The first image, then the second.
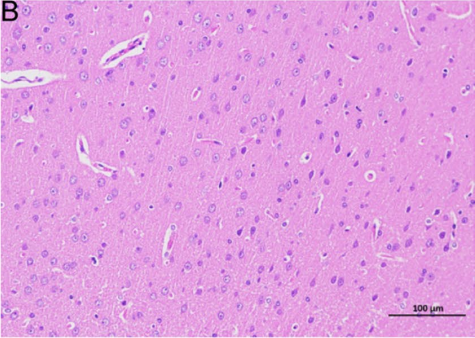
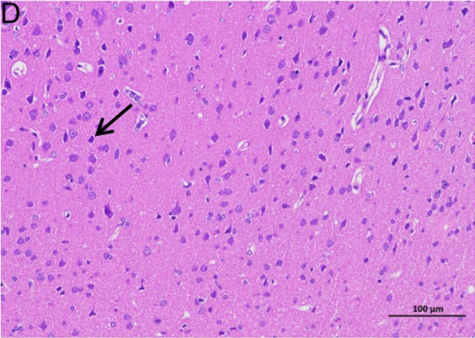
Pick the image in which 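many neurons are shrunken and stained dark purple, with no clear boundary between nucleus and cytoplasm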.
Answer: The second image.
